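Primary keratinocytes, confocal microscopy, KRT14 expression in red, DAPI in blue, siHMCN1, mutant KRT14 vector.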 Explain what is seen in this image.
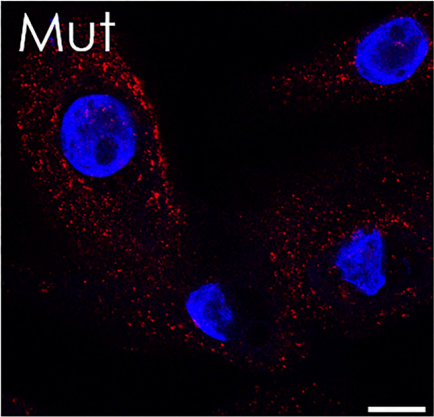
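Several cells with oval to irregular blue nuclei, one small and misshapen. Wide, flat cytoplasm is faintly red and studded with many small bright red dots, scattered from the perinuclear area out to the periphery. No continuous filament network is seen. A few red dots also overlie the nuclei.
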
